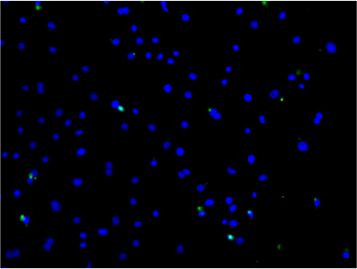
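The nuclei are small and oval, fairly uniform in size, and spread evenly over the field without clumping. Only a few nuclei carry a bright green label, and these are dispersed singly rather than grouped. Most nuclei show smooth, evenly blue staining without green.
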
